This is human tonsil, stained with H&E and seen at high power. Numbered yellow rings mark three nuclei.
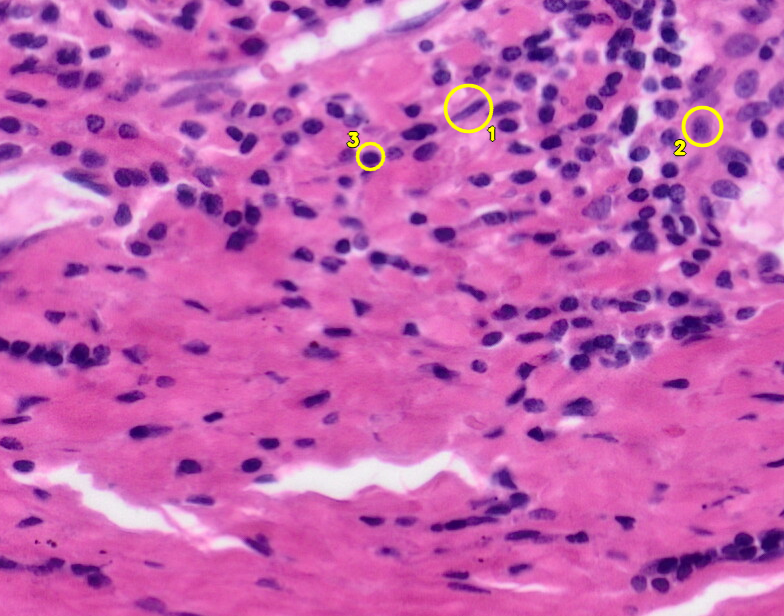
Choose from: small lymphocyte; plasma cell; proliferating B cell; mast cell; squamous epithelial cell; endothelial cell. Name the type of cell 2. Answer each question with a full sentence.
As for number 2, that cell is an endothelial cell.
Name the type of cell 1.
Cell 1 in the field of view is an endothelial cell.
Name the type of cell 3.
The nucleus labeled 3 belongs to a mast cell.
